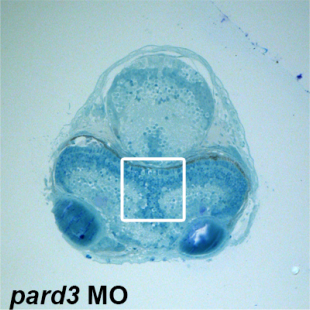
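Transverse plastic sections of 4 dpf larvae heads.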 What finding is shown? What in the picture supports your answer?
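The two retinas meet and are fused at the ventral midline of the head. That points to this answer: cyclopia.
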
